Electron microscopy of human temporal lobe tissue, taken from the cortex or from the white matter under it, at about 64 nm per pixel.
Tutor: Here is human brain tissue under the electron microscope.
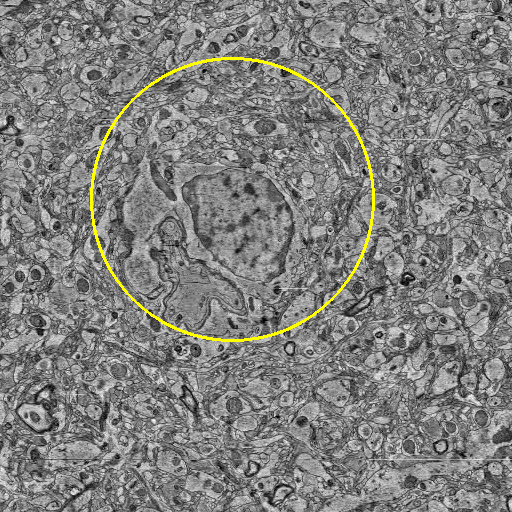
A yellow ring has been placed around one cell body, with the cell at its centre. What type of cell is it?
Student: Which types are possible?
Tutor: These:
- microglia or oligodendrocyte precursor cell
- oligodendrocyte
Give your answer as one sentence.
What the ring picks out here is a microglial cell or oligodendrocyte precursor cell.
